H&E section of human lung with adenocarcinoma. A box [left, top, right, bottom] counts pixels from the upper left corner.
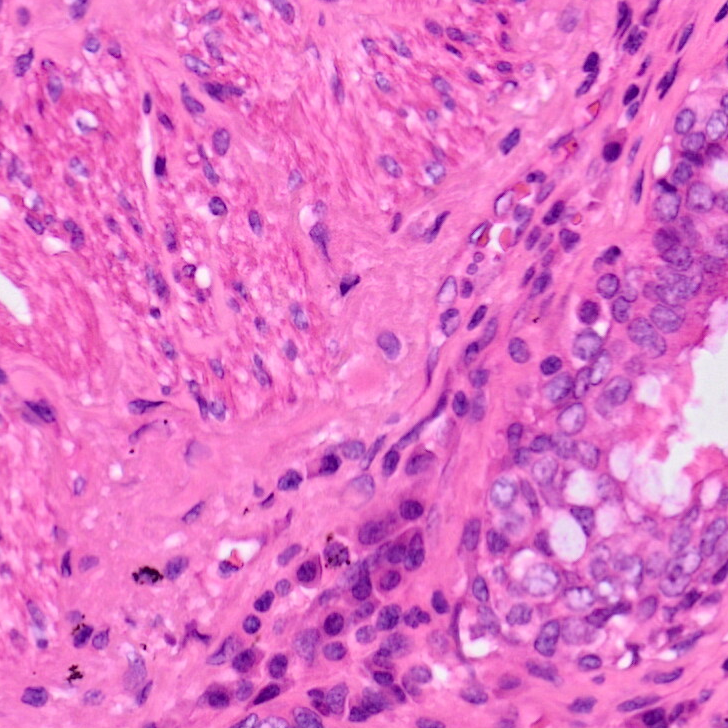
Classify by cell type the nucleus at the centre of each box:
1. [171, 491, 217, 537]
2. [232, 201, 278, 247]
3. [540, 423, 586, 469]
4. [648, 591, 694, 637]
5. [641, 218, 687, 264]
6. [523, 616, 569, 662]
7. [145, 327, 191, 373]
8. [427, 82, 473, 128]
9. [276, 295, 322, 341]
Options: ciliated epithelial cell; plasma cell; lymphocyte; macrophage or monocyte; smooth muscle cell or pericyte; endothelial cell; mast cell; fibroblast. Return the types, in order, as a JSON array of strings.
["fibroblast", "smooth muscle cell or pericyte", "ciliated epithelial cell", "ciliated epithelial cell", "ciliated epithelial cell", "ciliated epithelial cell", "smooth muscle cell or pericyte", "smooth muscle cell or pericyte", "smooth muscle cell or pericyte"]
